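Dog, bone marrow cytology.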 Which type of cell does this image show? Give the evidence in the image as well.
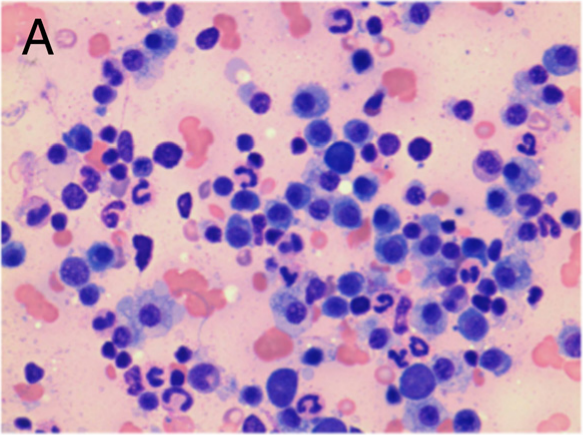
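Many round cells with eccentric round nuclei and deep blue cytoplasm. These cells vary in size, some large with abundant blue cytoplasm. Segmented neutrophils are scattered among them.
Atypical plasma cells.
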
